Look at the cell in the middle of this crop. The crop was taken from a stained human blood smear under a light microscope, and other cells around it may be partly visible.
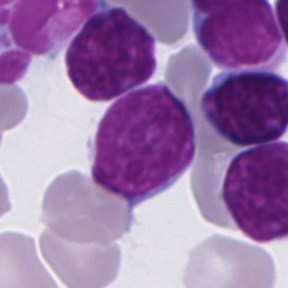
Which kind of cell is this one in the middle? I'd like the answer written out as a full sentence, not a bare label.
The centrally located cell in the crop is a blast.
